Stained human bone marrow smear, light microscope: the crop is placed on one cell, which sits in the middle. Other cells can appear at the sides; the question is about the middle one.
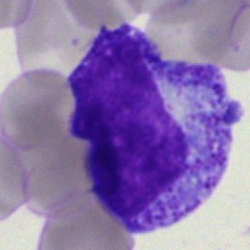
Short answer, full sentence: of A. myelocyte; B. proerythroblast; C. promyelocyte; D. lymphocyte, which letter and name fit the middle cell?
The right choice is option A: the cell in the middle is a myelocyte.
